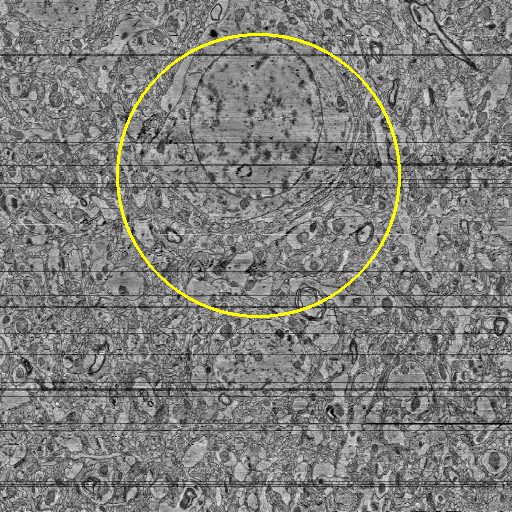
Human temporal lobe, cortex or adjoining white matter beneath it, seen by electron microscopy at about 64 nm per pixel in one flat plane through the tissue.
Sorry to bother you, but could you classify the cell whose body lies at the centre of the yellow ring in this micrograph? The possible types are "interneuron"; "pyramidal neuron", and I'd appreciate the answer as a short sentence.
The ringed cell body is that of a pyramidal neuron.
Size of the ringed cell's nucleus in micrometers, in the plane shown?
Approximately 11 micrometres long and 8 micrometres wide, in this plane.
